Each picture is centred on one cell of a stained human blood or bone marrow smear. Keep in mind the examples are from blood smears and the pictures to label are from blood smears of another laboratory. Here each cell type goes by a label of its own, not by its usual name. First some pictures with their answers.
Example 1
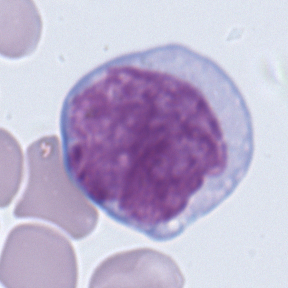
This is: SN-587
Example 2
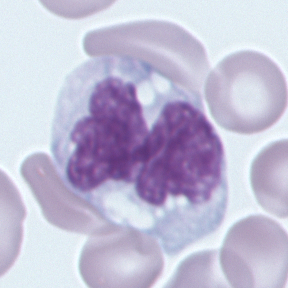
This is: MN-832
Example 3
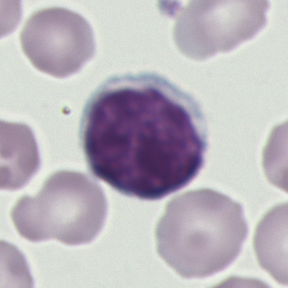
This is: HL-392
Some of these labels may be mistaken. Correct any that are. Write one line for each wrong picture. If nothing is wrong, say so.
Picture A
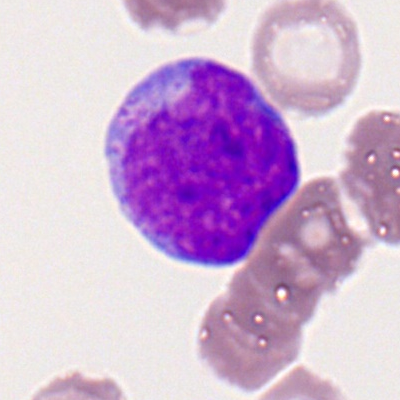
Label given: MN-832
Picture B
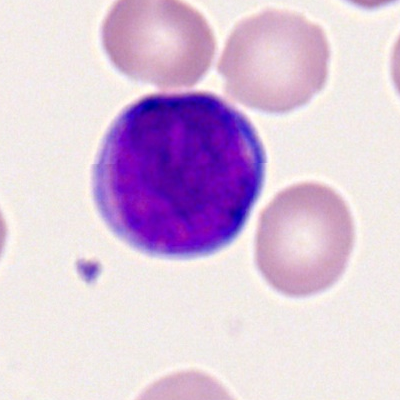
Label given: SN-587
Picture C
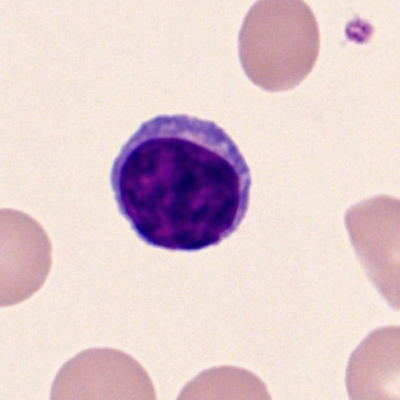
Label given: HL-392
A: change MN-832 to SN-587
